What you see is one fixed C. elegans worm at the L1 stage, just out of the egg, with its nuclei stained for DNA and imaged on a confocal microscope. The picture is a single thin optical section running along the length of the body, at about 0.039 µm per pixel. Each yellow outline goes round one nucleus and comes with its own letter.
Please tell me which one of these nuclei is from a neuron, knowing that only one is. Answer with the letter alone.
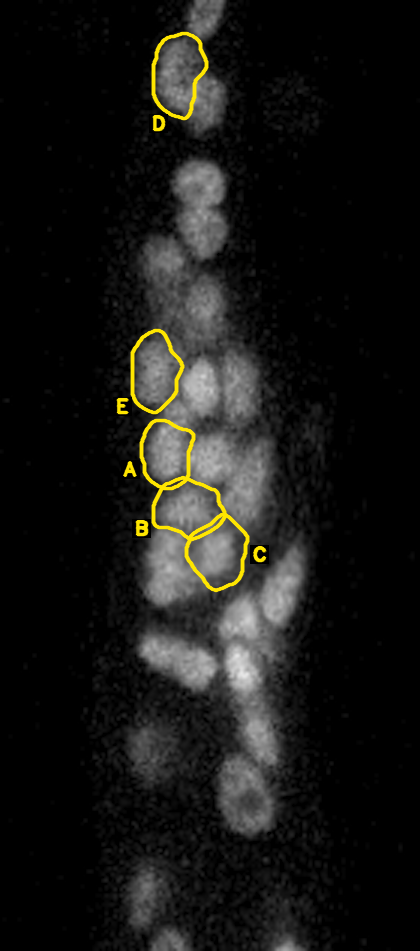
B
